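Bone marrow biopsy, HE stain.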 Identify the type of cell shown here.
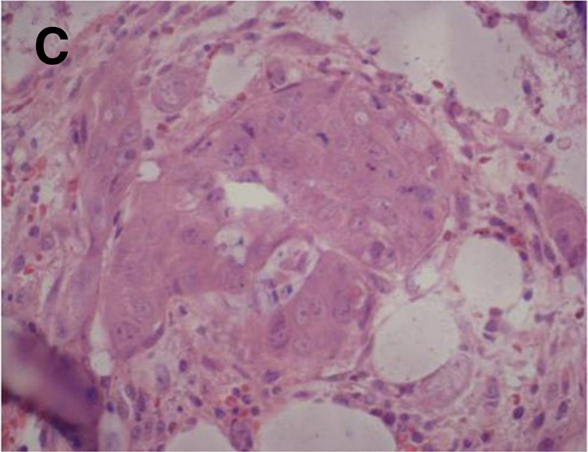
Metastatic tumor cells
